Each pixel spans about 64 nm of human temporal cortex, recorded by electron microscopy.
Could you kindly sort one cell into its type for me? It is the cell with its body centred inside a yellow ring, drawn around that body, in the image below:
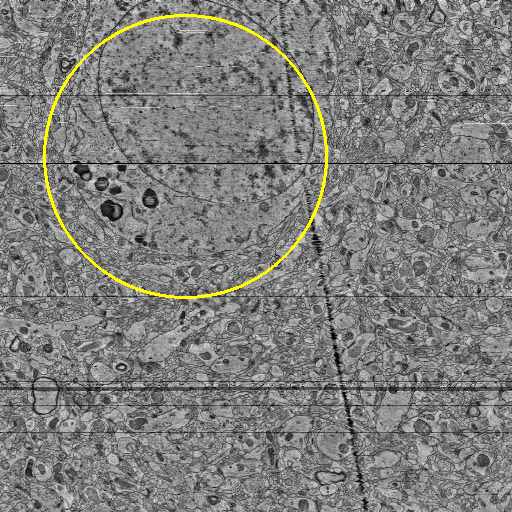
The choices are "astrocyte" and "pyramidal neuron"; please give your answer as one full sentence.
The cell whose body lies centred in the yellow ring here is a pyramidal neuron.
